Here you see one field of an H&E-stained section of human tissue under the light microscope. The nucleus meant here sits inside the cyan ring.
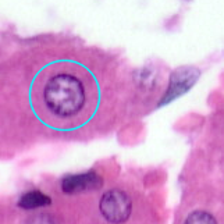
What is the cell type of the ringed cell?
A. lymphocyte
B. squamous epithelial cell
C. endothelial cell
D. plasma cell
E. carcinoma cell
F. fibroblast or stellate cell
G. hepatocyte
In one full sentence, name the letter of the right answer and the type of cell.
On this slide, the ringed cell is a hepatocyte, so option G is right.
